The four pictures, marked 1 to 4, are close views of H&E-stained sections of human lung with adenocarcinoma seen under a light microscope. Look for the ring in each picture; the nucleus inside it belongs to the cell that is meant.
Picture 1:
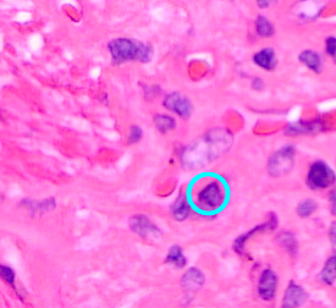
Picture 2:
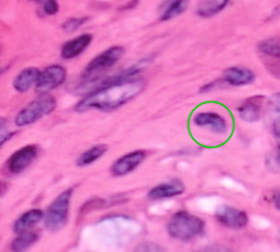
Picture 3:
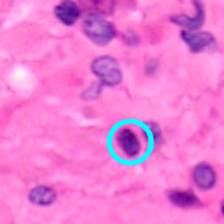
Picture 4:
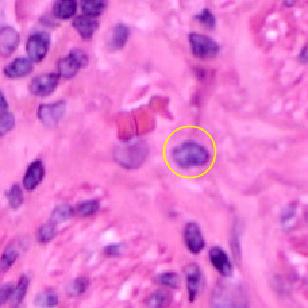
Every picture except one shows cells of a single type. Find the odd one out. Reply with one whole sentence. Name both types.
Picture 1 differs, because its cell is a plasma cell and the rest are mast cells.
